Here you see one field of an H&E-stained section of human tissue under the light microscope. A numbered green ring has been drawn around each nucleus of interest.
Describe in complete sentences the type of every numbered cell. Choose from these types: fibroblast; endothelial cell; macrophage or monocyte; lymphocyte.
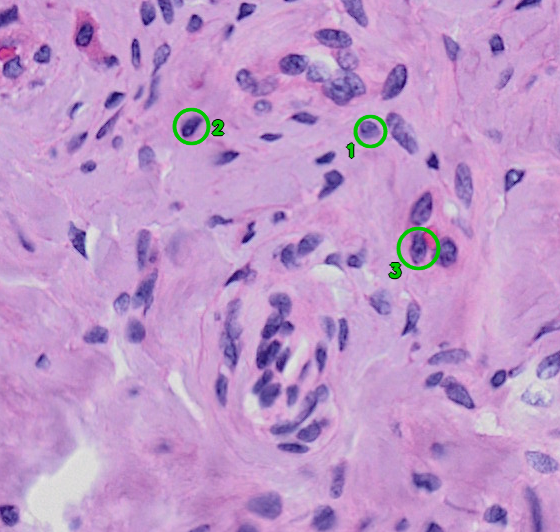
Cells 1 and 2 are fibroblasts. Cell 3 is an endothelial cell.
